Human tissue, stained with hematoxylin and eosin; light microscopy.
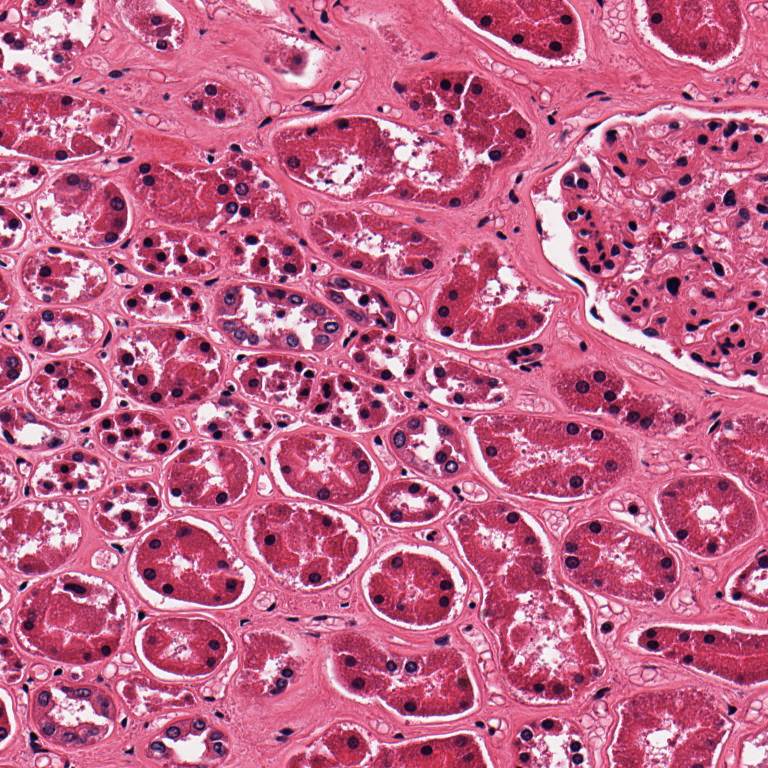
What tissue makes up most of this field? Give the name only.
cortical labyrinth of the kidney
